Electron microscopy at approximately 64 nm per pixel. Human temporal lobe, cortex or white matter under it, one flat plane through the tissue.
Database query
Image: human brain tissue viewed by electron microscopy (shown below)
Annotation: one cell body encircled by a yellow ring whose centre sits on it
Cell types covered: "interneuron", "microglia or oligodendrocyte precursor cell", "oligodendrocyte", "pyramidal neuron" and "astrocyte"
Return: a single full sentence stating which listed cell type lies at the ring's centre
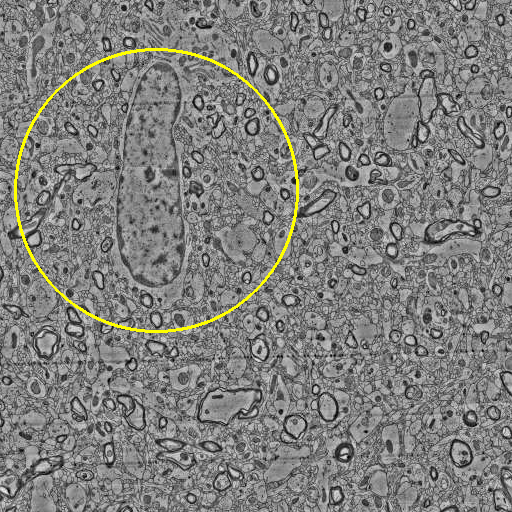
In the image, the cell lying at the ring's centre is a microglial cell or oligodendrocyte precursor cell.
